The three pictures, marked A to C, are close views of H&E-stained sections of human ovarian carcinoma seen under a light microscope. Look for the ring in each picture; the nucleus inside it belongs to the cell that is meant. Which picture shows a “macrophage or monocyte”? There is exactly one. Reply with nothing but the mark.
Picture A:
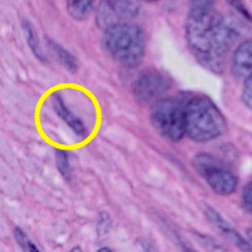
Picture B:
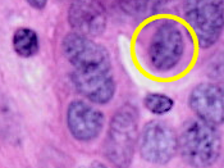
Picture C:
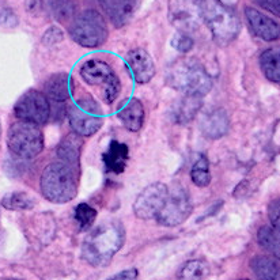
C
